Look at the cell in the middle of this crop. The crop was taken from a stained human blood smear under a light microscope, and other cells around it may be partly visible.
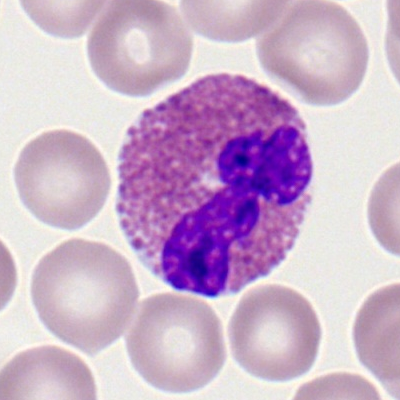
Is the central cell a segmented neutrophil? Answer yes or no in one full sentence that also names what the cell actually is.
No, at the middle of the crop is an eosinophil, not a segmented neutrophil.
